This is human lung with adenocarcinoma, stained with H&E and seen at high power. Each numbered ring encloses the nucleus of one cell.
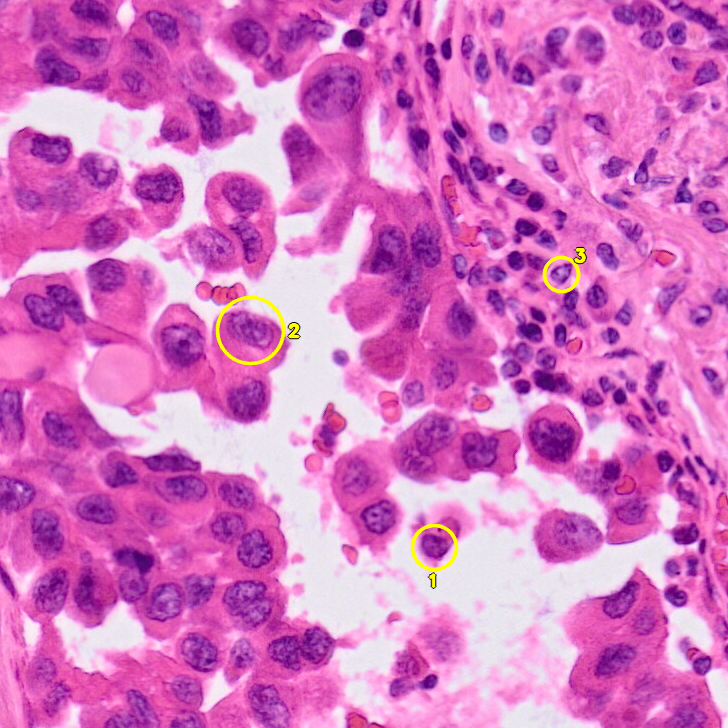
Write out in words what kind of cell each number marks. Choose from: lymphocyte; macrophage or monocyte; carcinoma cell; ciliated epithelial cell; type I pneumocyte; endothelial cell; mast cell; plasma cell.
Cell 1 is a macrophage or monocyte, cell 2 is a carcinoma cell and cell 3 is a lymphocyte.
